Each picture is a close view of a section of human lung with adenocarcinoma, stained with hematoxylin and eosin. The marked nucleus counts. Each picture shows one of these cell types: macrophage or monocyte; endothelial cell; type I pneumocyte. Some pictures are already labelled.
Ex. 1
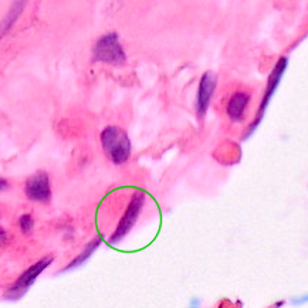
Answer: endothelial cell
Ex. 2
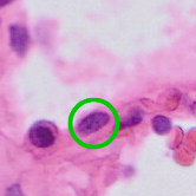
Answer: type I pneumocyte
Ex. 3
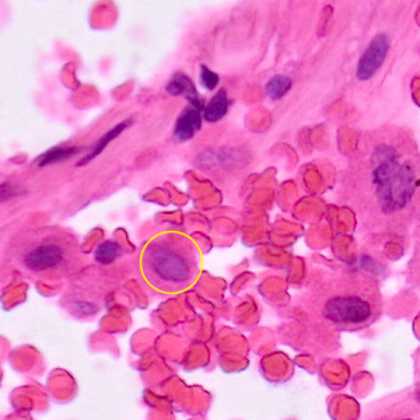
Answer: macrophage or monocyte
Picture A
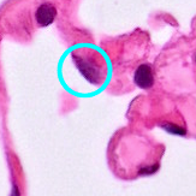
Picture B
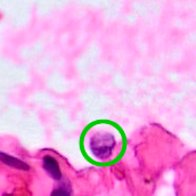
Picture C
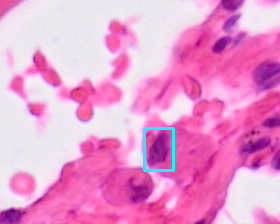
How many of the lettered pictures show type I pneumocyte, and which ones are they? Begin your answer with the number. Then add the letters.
2: A, B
